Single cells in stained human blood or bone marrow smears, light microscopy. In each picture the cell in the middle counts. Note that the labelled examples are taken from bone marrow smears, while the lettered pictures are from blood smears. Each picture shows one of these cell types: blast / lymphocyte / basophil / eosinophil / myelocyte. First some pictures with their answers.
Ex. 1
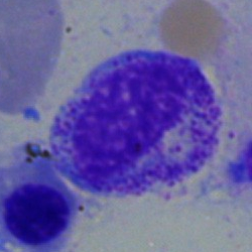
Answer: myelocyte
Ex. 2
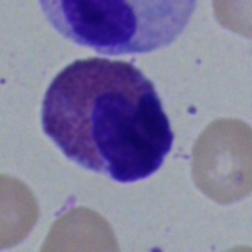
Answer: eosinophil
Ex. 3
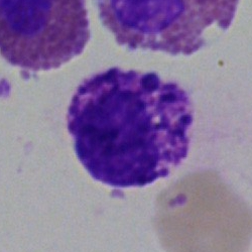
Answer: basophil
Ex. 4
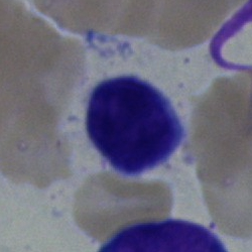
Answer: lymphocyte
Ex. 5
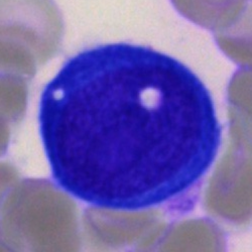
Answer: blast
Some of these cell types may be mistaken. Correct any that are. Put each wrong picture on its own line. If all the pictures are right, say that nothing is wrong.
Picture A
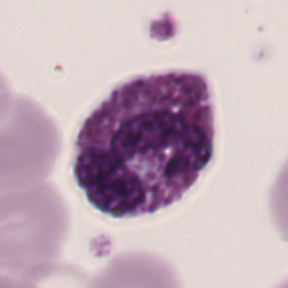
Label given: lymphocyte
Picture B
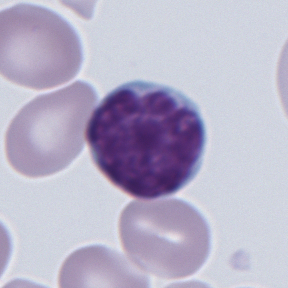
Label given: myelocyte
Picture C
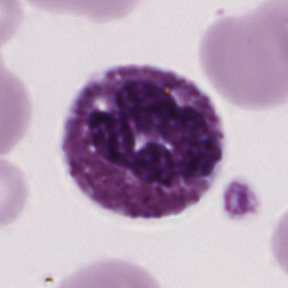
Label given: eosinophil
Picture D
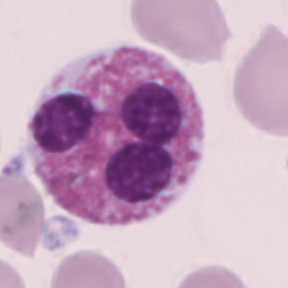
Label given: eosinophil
A should be eosinophil, not lymphocyte
B should be lymphocyte, not myelocyte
